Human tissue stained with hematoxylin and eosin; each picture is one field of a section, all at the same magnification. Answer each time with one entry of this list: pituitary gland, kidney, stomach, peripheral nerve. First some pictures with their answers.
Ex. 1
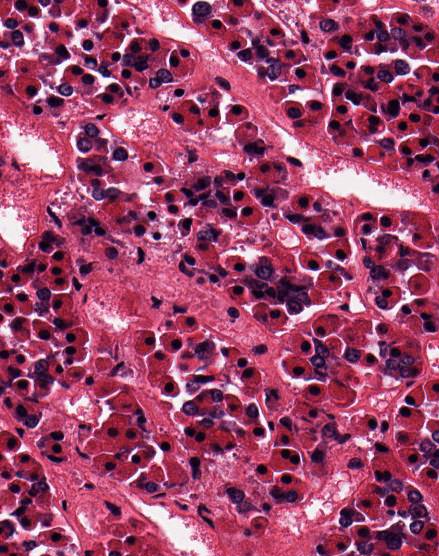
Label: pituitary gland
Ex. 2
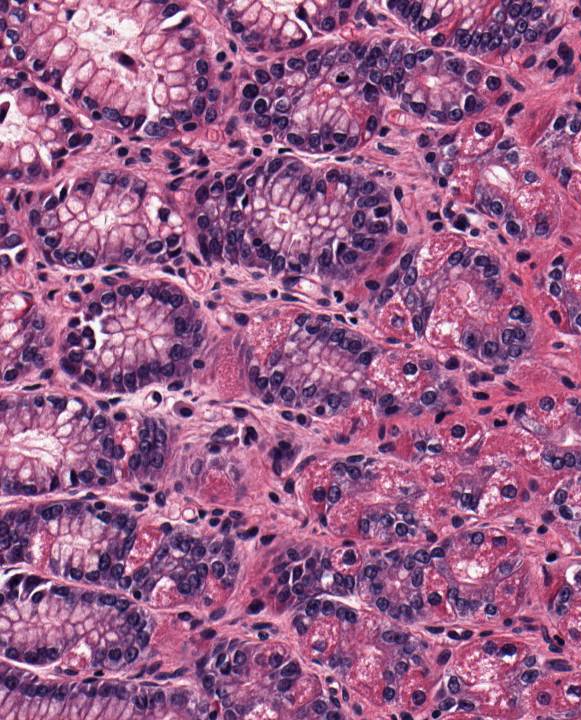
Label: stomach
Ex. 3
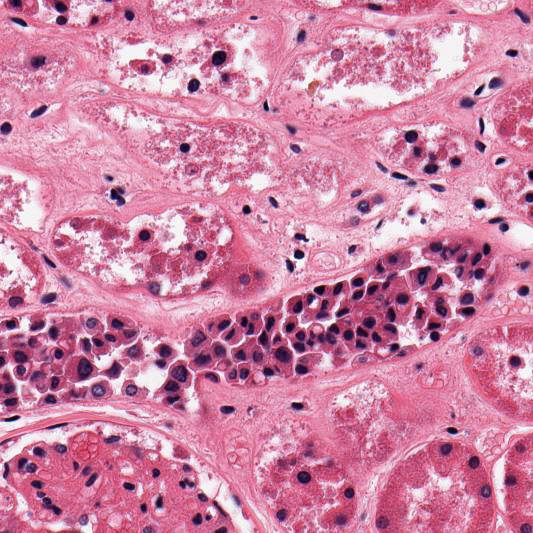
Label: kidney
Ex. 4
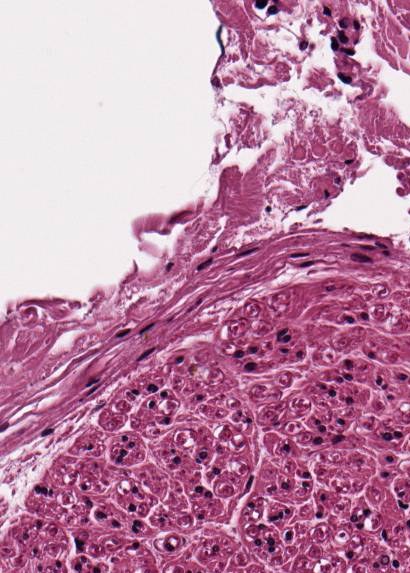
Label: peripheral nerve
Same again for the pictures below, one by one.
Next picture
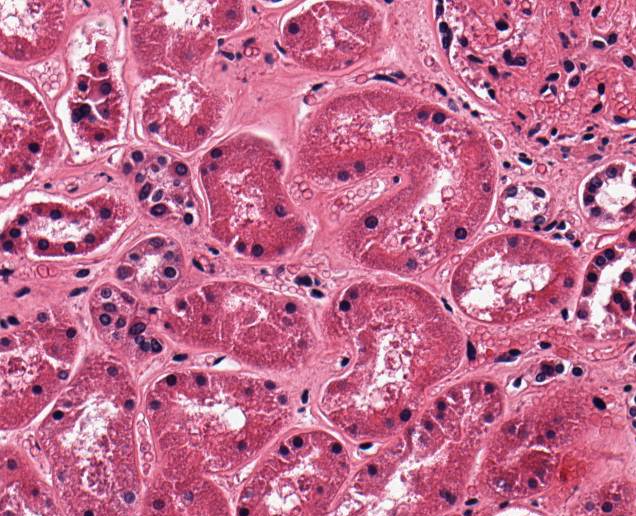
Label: kidney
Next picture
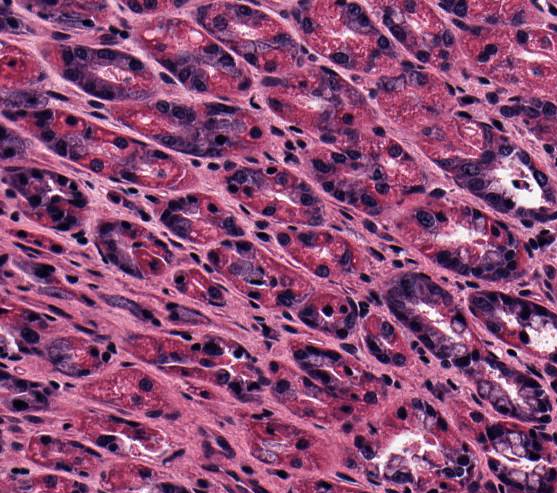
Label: stomach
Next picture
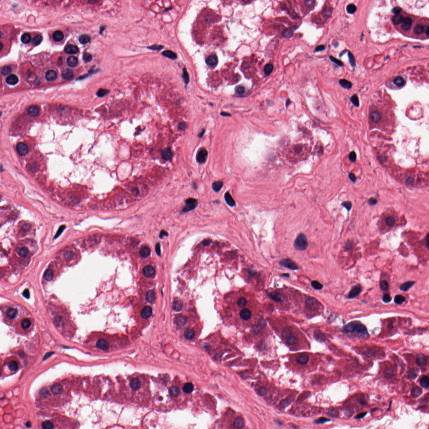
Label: kidney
